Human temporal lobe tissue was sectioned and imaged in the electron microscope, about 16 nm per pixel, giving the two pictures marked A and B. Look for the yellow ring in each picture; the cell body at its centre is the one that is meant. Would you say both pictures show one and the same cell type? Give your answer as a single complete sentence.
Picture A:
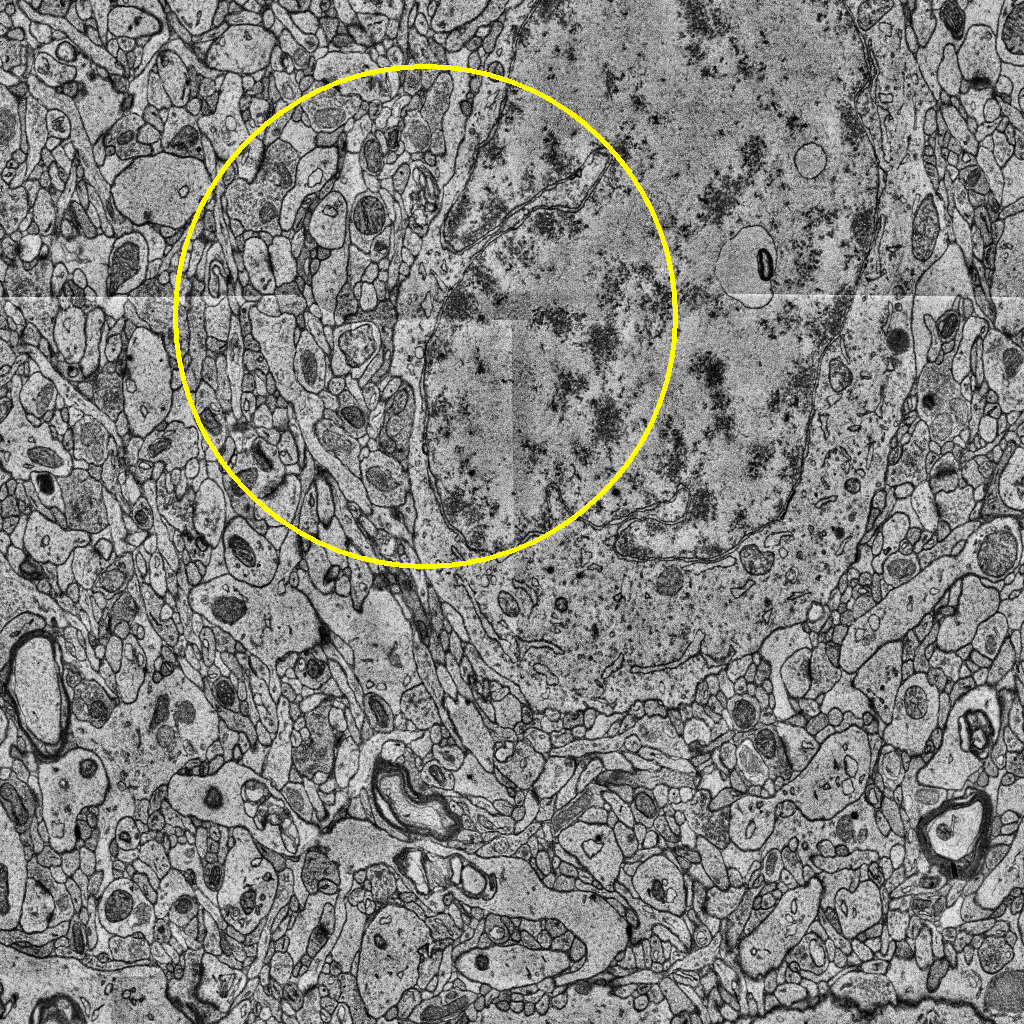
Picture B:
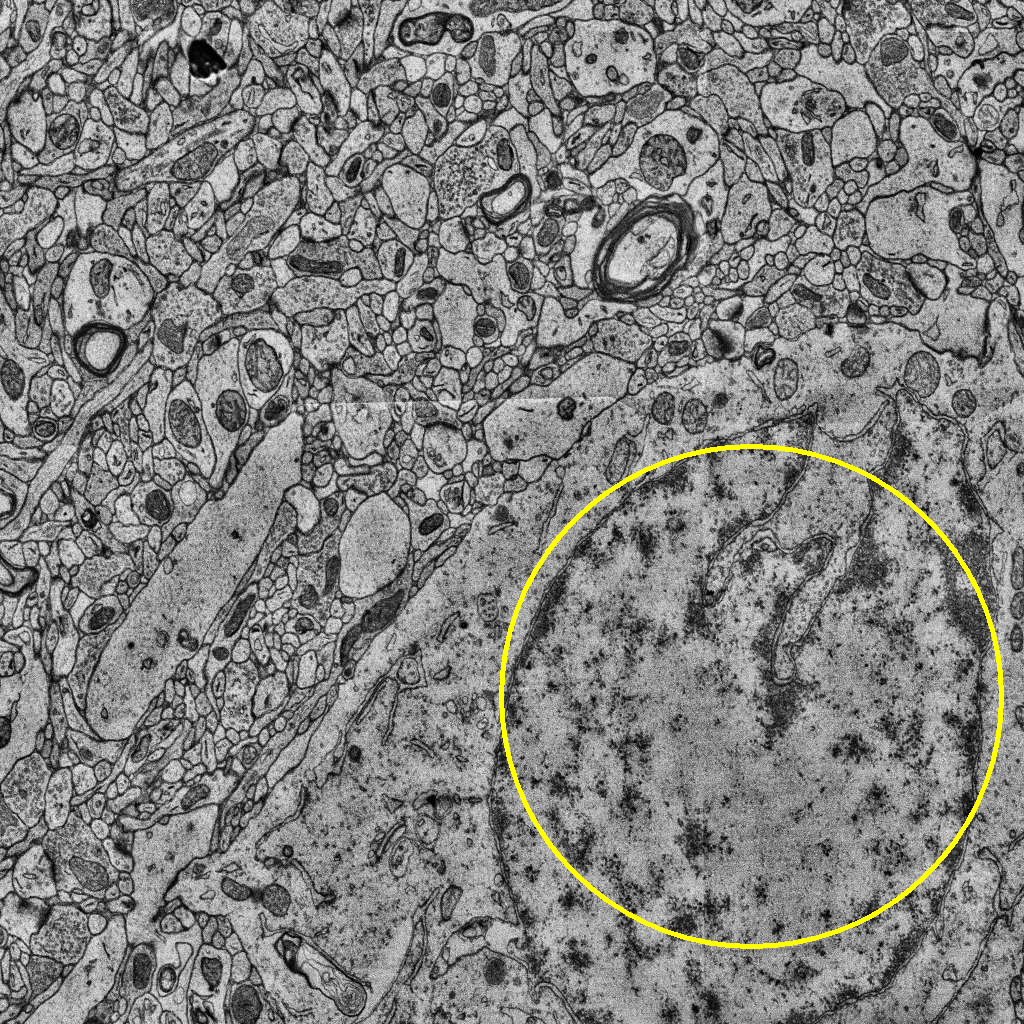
Yes, both are interneurons.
